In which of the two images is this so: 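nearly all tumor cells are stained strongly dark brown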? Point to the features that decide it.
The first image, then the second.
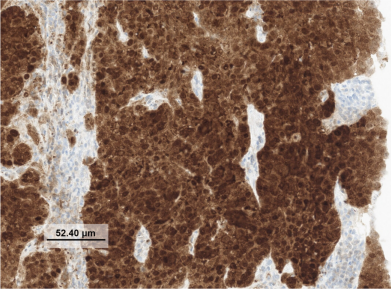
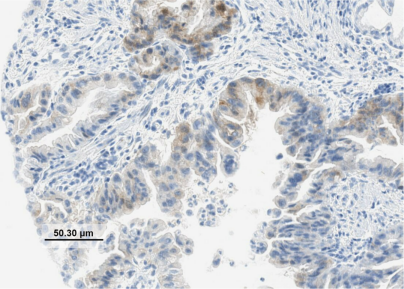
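The first image. First image: sheets of tumor cells are almost uniformly dark brown. Second image: gland-lining cells are mostly pale tan to light brown, many blue.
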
